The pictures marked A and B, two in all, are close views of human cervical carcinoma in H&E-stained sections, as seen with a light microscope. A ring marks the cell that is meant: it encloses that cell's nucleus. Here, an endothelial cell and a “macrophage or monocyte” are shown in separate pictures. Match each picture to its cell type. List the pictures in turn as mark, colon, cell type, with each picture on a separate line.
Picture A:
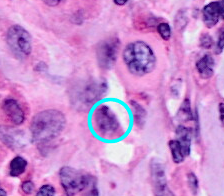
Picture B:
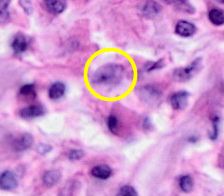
A: endothelial cell
B: macrophage or monocyte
